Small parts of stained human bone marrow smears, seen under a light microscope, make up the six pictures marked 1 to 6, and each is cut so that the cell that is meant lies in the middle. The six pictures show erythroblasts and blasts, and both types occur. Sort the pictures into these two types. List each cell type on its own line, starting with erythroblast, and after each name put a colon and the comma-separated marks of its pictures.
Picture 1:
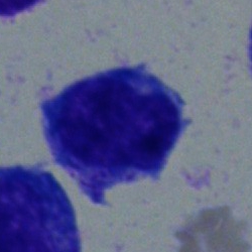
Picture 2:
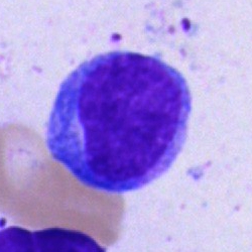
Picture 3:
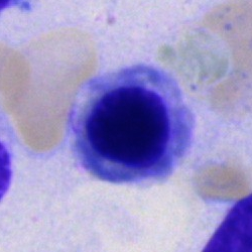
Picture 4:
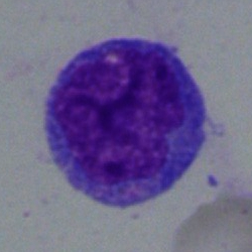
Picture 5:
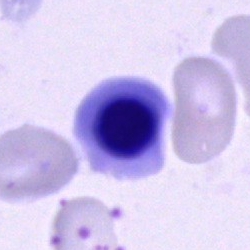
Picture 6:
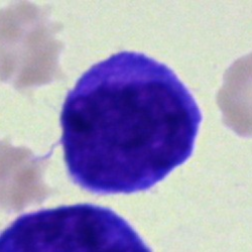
erythroblast: 3, 5
blast: 1, 2, 4, 6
